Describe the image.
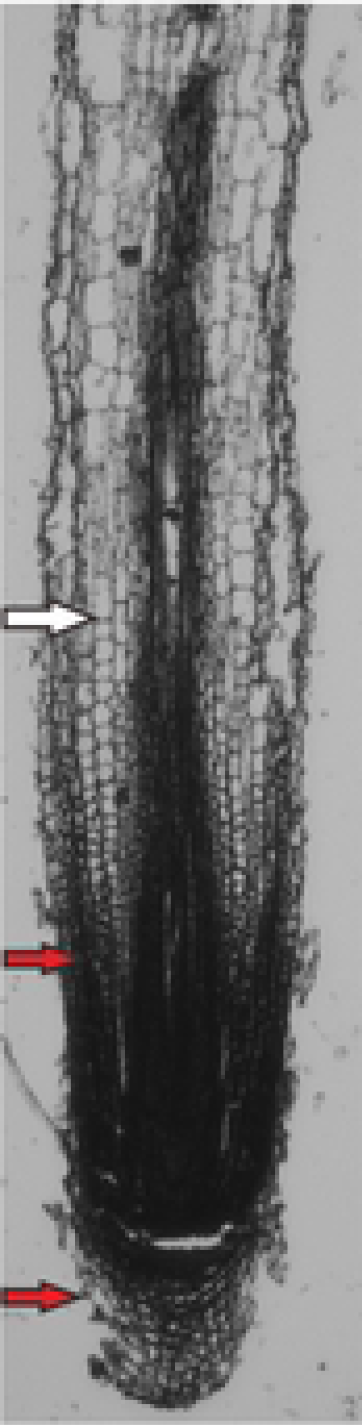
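This is a longitudinal section through a root tip, with loose root cap cells covering the apex and a densely stained region of small, tightly packed cells just behind it. Further from the tip the cells become longer and paler, with larger cells in the outer cortex and a darkly stained central column of narrow cells running along the axis.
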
